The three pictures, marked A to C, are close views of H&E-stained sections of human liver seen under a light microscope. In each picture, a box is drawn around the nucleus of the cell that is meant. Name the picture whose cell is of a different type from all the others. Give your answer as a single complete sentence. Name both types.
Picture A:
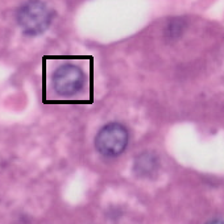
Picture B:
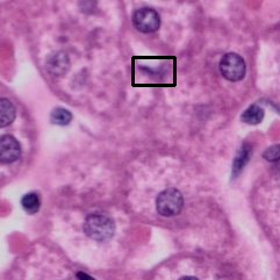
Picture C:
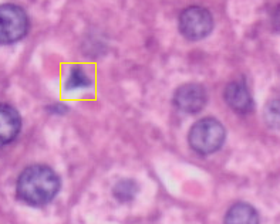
The others show endothelial cells, but picture A shows a hepatocyte.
